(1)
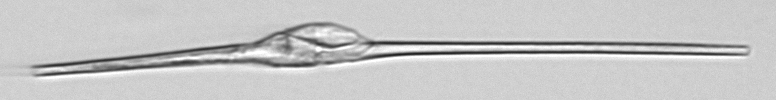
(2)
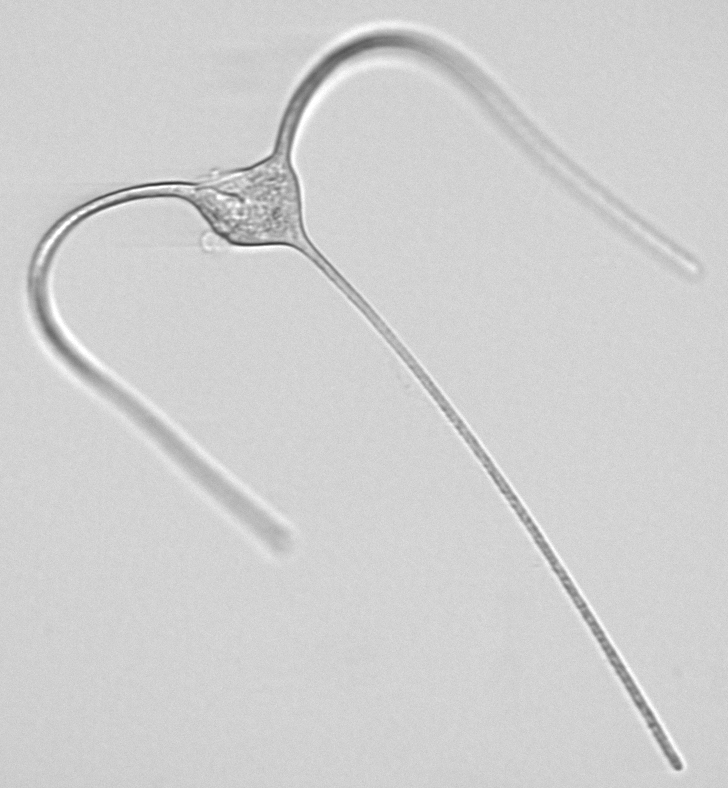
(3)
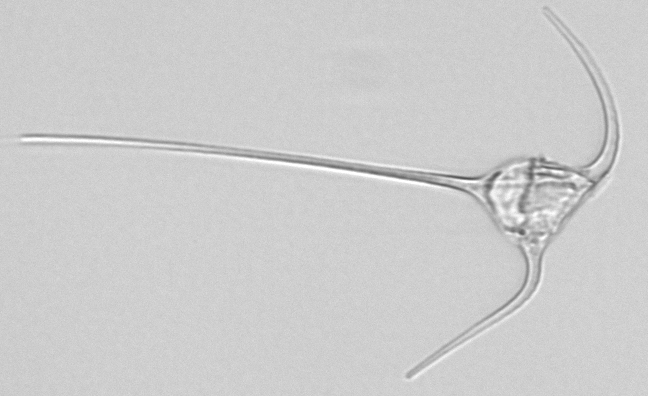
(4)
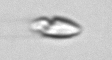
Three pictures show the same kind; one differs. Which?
Picture 4: Kapelodinium, while the others are Tripos.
